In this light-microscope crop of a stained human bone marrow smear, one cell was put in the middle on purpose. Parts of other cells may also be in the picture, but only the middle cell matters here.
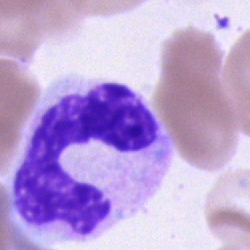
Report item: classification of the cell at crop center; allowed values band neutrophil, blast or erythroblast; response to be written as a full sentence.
In this crop, the cell at the very middle is a band neutrophil.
